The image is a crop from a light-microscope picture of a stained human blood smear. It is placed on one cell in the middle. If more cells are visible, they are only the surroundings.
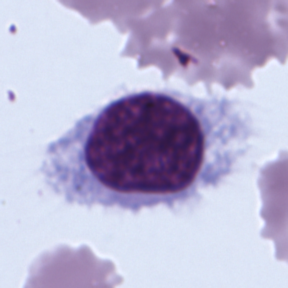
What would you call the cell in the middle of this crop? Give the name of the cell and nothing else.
hairy cell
